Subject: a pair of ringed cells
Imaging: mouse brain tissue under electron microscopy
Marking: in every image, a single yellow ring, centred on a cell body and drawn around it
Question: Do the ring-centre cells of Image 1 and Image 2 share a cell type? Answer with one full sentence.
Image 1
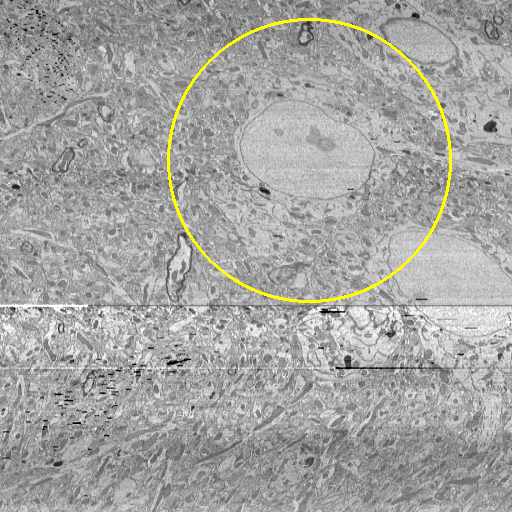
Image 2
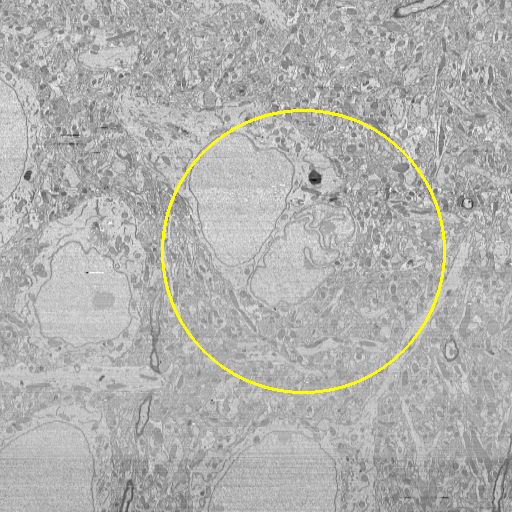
No, at the ring centres in the images sit cells of two separate types.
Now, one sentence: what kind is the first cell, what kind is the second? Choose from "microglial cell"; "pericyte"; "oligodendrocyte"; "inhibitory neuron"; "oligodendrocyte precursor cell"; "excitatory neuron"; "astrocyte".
The first picture has an excitatory neuron at its ring centre, and the second has an oligodendrocyte precursor cell.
